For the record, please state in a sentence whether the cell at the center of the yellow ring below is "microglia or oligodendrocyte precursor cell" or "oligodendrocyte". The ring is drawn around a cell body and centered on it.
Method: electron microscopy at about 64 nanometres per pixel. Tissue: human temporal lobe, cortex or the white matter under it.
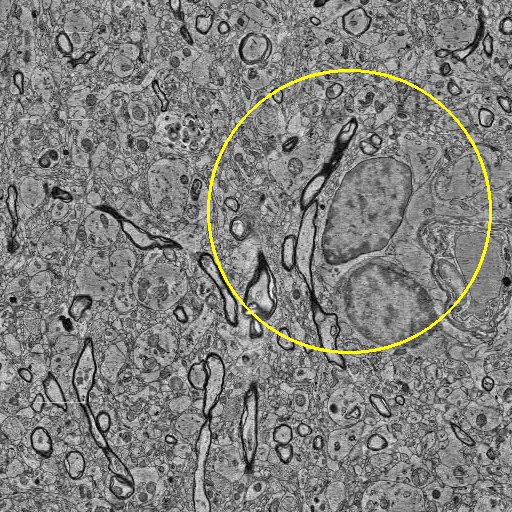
The cell at the ring's center is a microglial cell or oligodendrocyte precursor cell.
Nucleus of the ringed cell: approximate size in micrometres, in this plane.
Roughly 8 micrometres by 5 micrometres, so the nucleus is clearly longer than it is wide in this plane.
